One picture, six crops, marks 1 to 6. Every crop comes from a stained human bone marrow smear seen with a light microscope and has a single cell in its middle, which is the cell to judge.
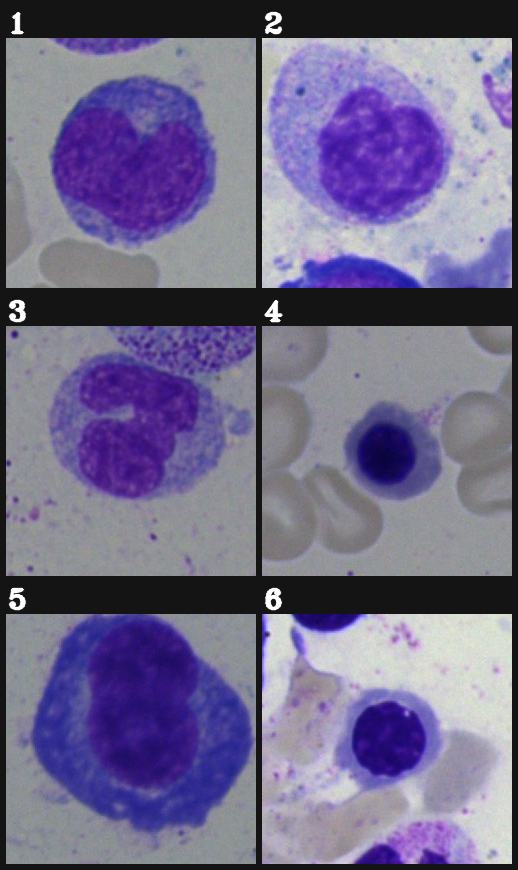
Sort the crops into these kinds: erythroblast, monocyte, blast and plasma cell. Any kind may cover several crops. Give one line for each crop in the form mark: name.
1: blast
2: monocyte
3: monocyte
4: erythroblast
5: plasma cell
6: erythroblast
